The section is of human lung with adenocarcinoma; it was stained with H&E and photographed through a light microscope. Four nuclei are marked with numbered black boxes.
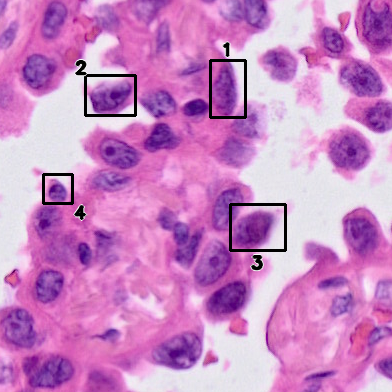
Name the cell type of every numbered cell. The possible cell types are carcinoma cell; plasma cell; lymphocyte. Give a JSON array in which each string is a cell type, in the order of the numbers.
["carcinoma cell", "carcinoma cell", "carcinoma cell", "lymphocyte"]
